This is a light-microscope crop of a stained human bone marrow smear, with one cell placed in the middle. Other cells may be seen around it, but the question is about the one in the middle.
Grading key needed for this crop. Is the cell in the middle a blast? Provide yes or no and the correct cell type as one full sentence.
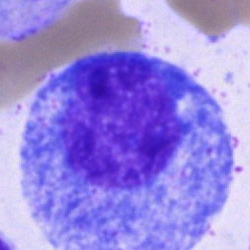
No, the central cell is counted as a promyelocyte instead of a blast.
